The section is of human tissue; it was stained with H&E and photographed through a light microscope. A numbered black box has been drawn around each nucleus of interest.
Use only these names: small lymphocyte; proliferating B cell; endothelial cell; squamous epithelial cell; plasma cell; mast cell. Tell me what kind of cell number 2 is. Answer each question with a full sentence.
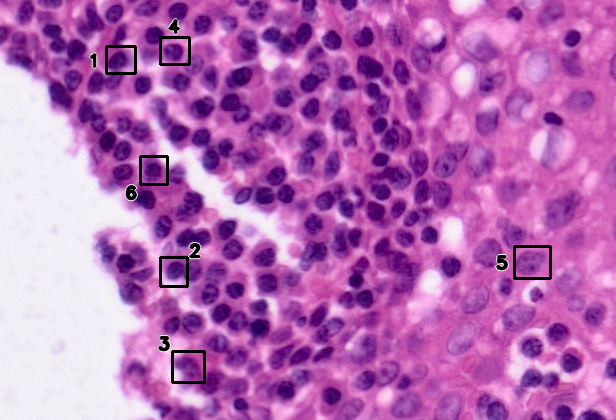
In this section, the cell tagged 2 is a plasma cell.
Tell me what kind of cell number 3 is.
Number 3 is placed on a squamous epithelial cell here.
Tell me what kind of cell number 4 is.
Here, the cell given the number 4 is a plasma cell.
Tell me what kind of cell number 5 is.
Recognised here as a squamous epithelial cell is the cell numbered 5.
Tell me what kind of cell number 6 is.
What the number 6 marks in this field is a plasma cell.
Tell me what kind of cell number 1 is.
Looking at the numbered marks, cell 1 is a plasma cell.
